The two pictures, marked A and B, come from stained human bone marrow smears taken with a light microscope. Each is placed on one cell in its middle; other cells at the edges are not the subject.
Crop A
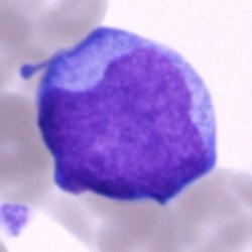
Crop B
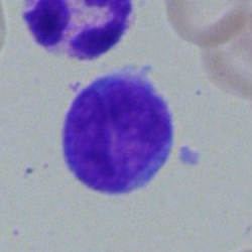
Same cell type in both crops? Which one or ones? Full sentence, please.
Yes, in the case of both crops, the central cells are blasts.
